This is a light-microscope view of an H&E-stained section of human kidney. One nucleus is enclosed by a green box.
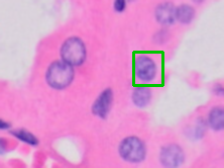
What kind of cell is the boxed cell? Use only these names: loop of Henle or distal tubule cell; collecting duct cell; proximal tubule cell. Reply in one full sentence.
This is a collecting duct cell.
